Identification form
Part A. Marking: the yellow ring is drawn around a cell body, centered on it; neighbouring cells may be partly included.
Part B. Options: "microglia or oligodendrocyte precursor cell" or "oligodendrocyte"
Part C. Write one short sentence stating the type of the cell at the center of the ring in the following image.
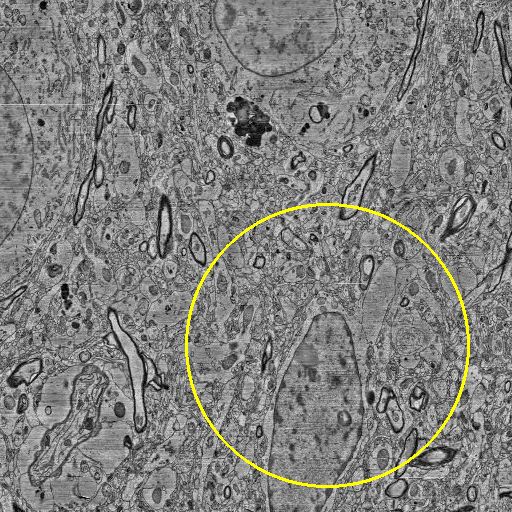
The center of the ring holds a microglial cell or oligodendrocyte precursor cell.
